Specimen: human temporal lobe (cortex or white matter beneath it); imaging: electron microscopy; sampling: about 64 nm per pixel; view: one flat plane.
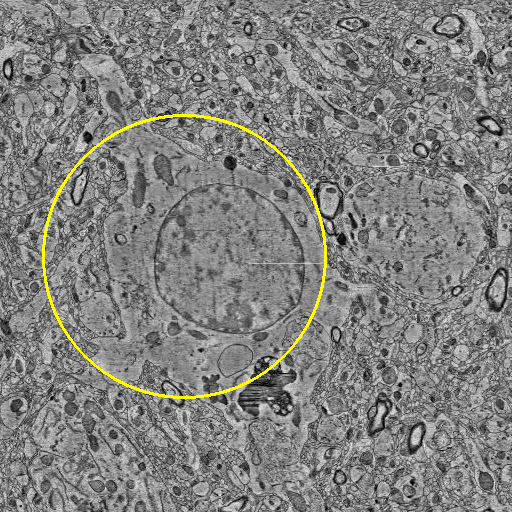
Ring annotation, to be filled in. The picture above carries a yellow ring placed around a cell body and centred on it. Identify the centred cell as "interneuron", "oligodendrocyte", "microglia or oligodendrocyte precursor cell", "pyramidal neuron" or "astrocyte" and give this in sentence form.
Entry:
The cell in the middle of the ring is an astrocyte.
